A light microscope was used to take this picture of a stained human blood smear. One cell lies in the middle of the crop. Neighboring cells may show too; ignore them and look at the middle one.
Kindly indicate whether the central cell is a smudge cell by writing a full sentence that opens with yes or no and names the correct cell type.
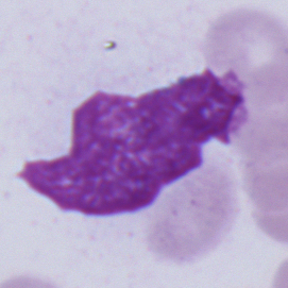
Yes, in the centre of this field sits a smudge cell.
